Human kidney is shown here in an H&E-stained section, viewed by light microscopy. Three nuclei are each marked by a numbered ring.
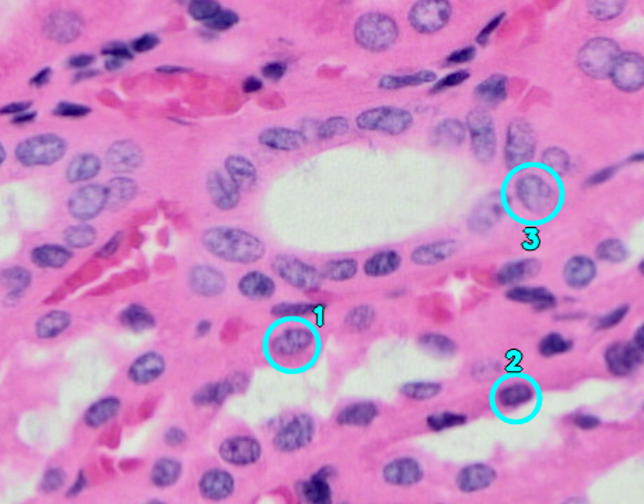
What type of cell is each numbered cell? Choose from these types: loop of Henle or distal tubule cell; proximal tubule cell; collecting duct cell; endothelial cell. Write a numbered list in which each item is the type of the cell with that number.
1. loop of Henle or distal tubule cell
2. loop of Henle or distal tubule cell
3. collecting duct cell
